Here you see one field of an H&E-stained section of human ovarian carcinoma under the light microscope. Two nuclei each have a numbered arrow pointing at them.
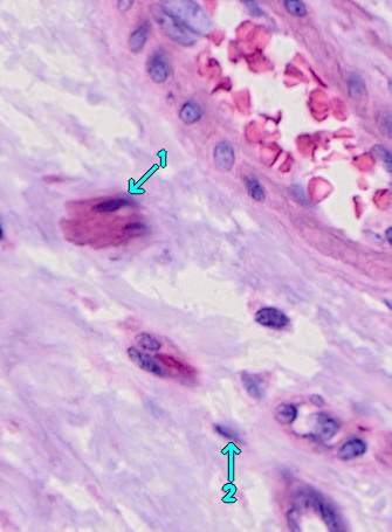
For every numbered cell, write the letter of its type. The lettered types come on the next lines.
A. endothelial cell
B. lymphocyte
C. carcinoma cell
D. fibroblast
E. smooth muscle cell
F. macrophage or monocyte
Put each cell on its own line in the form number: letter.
1: E
2: D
